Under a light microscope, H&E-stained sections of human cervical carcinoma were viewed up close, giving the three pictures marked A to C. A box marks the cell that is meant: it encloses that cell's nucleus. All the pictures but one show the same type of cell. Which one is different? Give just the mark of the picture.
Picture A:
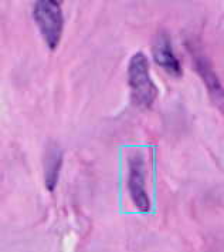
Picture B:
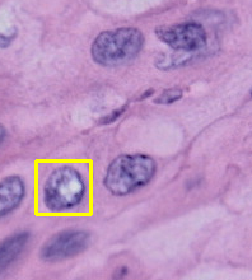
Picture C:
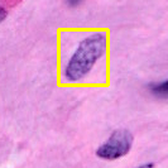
B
